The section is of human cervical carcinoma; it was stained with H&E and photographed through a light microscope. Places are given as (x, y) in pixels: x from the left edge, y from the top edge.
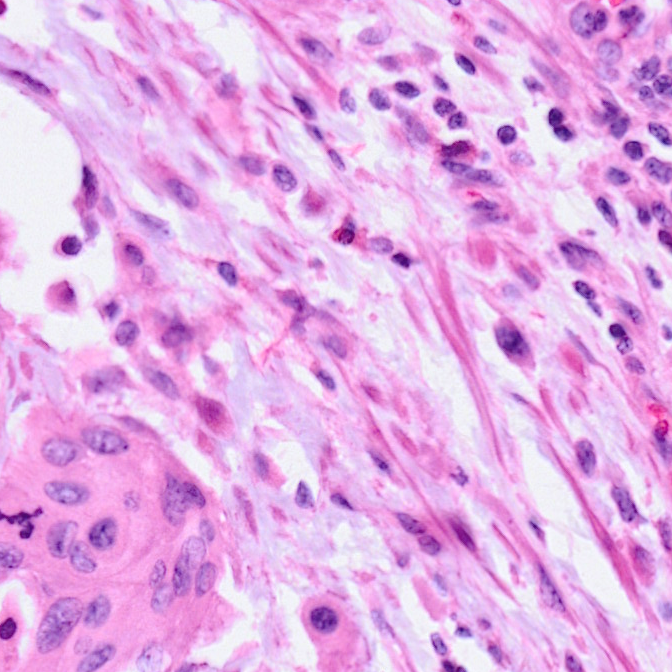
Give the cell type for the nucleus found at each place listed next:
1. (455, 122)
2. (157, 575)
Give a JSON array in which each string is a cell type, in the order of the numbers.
["lymphocyte", "squamous carcinoma cell"]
